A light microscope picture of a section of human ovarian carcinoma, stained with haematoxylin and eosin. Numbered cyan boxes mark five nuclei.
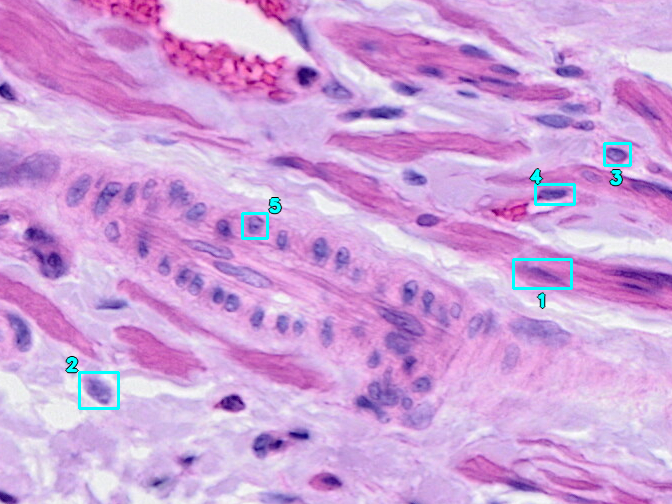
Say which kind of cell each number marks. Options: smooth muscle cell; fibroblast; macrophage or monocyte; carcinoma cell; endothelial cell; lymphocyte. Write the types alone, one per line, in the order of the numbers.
smooth muscle cell
fibroblast
endothelial cell
endothelial cell
smooth muscle cell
